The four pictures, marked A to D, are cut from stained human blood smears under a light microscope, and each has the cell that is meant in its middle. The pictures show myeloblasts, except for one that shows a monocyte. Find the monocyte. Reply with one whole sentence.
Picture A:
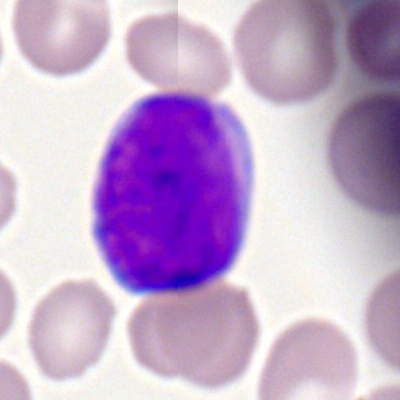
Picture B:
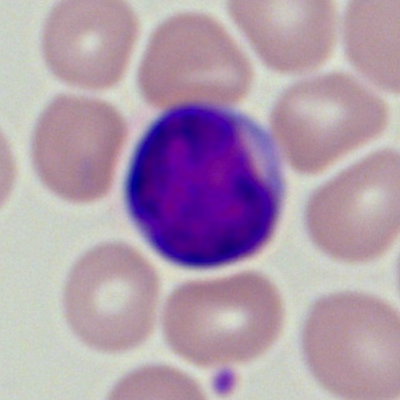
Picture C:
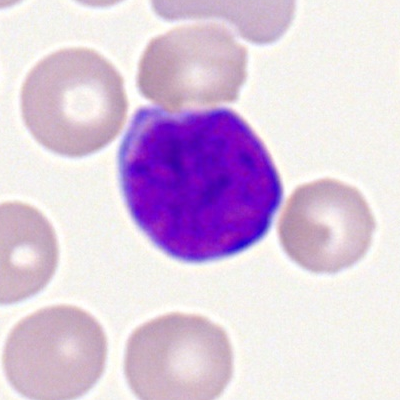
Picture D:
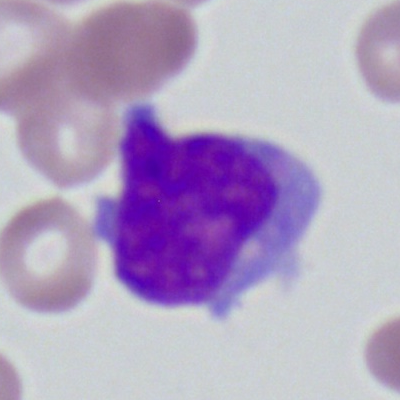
The monocyte is the one in picture D.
